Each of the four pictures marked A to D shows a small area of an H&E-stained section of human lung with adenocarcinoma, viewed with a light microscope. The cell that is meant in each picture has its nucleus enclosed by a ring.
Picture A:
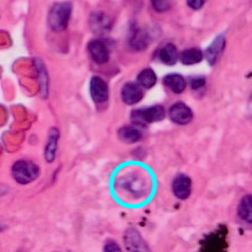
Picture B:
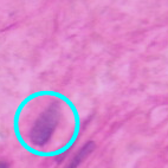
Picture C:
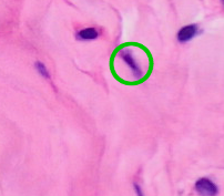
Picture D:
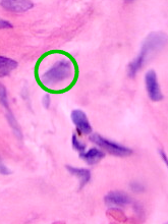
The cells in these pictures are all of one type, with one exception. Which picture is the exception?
B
